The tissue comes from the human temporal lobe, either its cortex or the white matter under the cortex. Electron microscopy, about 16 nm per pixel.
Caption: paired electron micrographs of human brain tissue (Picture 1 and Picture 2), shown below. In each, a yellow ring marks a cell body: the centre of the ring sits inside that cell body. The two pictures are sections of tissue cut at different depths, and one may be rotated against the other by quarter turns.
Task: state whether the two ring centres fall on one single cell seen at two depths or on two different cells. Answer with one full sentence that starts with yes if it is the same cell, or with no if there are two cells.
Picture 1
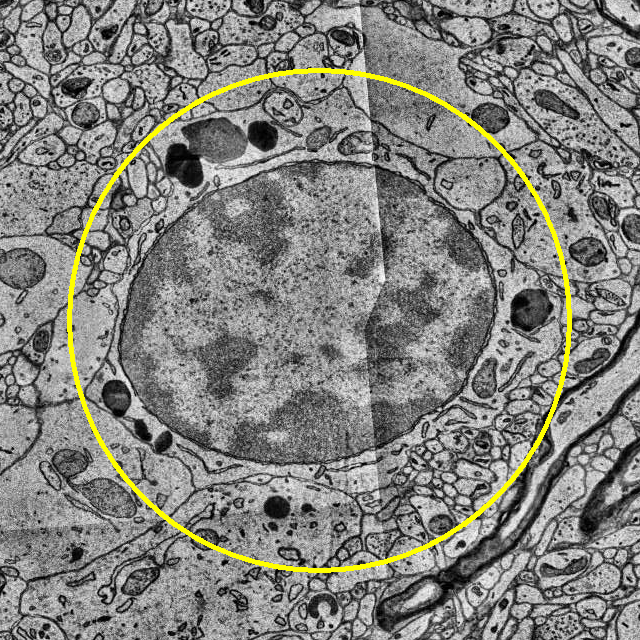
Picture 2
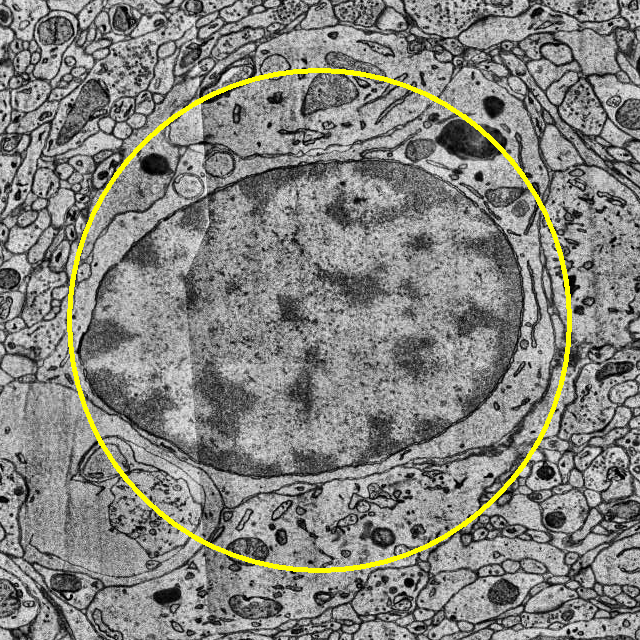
Yes, a single cell lies behind both yellow marks.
